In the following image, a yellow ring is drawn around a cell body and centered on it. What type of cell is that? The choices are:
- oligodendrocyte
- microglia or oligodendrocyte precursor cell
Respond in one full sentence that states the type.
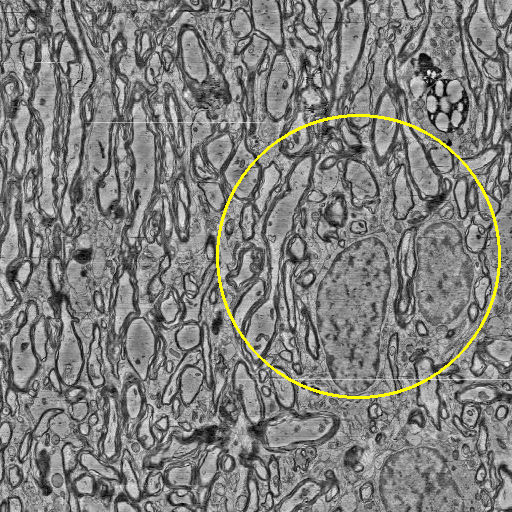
The cell at the center of the yellow ring in the image is a microglial cell or oligodendrocyte precursor cell.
